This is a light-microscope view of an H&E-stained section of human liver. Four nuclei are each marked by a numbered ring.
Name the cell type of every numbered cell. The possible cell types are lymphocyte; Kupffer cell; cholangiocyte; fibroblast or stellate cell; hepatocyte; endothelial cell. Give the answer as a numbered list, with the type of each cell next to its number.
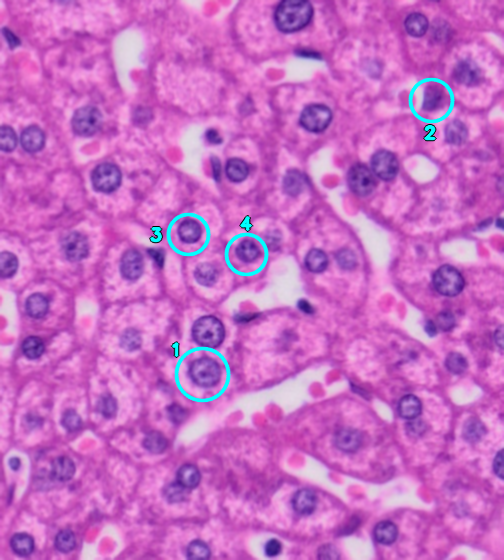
1. hepatocyte
2. endothelial cell
3. hepatocyte
4. hepatocyte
